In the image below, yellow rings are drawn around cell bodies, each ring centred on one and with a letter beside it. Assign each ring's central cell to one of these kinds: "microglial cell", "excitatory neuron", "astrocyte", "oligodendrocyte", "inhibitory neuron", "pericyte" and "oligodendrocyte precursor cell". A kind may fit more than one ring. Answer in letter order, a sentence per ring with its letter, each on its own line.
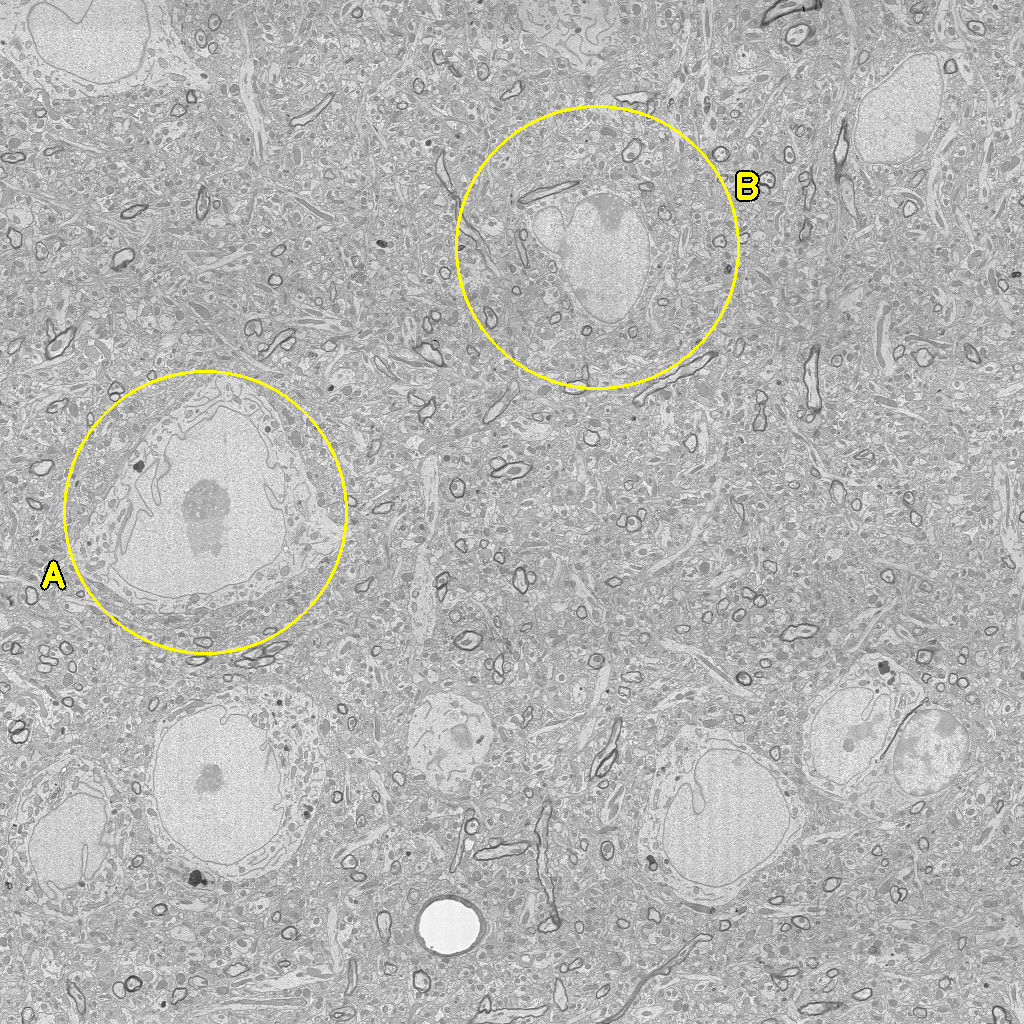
The central cell of ring A is an excitatory neuron.
The central cell of ring B is an astrocyte.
